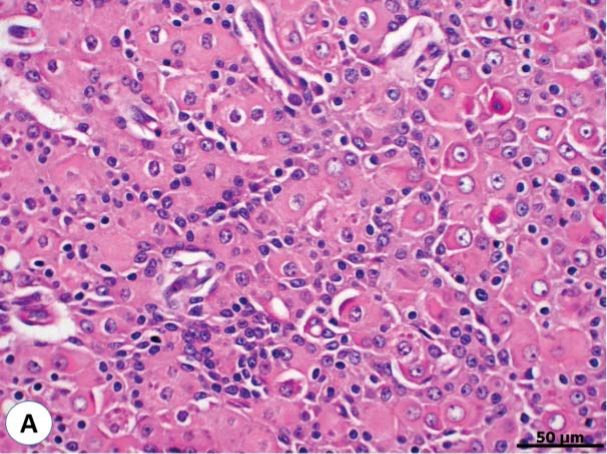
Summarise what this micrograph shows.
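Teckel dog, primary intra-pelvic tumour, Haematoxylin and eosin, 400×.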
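Sheets of large polygonal cells with plentiful pink, finely granular cytoplasm fill most of the field, each with a round central nucleus and often a distinct nucleolus. Smaller cells with dark nuclei and little cytoplasm are scattered irregularly between them. The large cells resemble liver cells and are the well-differentiated hepatoid cells, with the smaller cells being reserve cells.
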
